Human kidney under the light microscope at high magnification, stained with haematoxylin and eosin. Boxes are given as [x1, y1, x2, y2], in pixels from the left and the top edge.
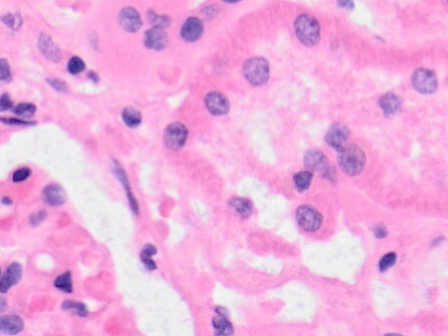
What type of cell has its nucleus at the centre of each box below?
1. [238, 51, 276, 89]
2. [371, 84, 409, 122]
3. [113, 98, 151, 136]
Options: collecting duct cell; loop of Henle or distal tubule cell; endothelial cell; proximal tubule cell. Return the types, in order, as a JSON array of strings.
["proximal tubule cell", "proximal tubule cell", "endothelial cell"]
